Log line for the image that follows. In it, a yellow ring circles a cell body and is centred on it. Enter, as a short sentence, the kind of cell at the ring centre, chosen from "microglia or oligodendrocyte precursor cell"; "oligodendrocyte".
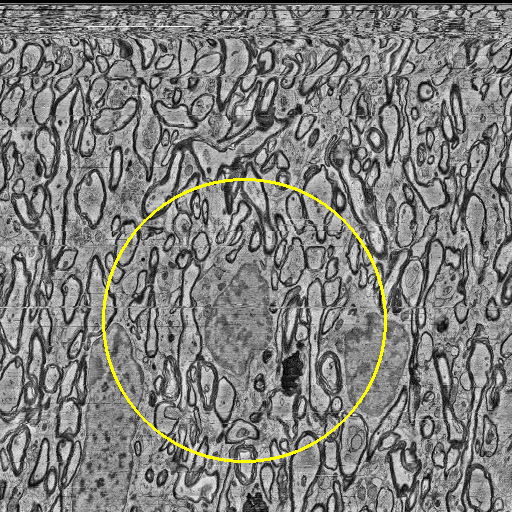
The ring centre is occupied by an oligodendrocyte.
